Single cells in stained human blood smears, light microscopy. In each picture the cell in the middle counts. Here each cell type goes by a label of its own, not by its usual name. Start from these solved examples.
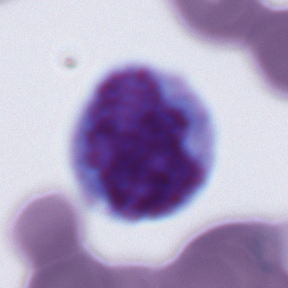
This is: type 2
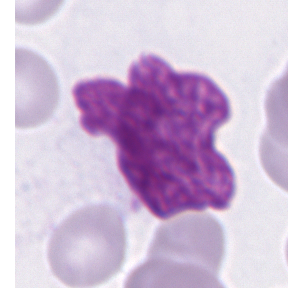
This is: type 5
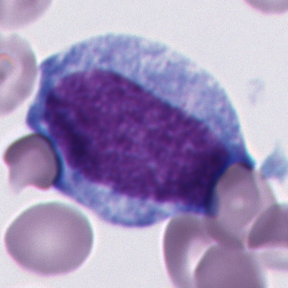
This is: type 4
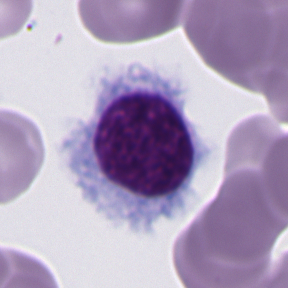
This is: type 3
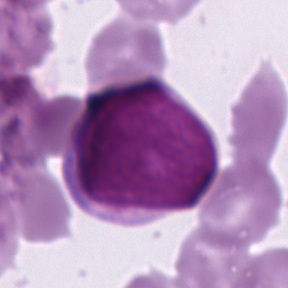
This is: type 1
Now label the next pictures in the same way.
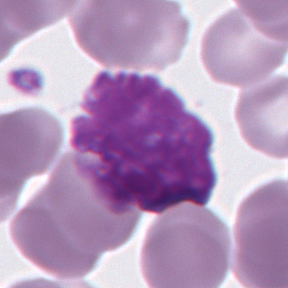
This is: type 5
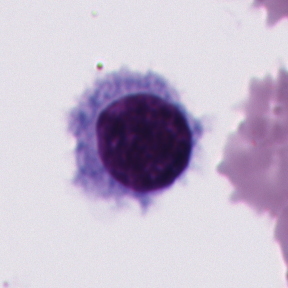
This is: type 3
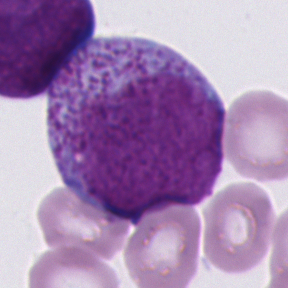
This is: type 4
